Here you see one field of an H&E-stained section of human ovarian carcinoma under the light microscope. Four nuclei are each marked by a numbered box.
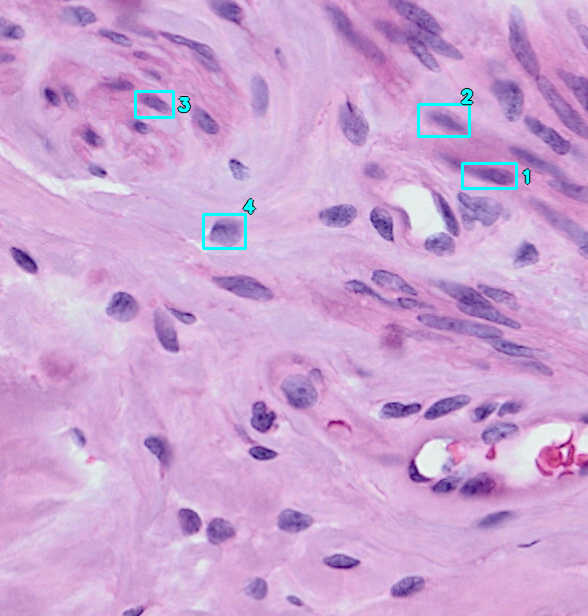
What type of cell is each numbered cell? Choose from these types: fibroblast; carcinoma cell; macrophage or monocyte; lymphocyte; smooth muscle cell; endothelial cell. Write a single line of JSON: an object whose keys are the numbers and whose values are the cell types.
{"1": "smooth muscle cell", "2": "smooth muscle cell", "3": "smooth muscle cell", "4": "fibroblast"}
